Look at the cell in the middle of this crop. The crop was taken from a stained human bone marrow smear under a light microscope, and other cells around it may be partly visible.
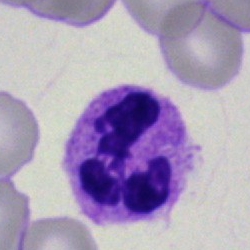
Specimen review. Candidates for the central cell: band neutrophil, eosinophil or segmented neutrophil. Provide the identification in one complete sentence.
For this crop, the cell in the middle is a segmented neutrophil.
